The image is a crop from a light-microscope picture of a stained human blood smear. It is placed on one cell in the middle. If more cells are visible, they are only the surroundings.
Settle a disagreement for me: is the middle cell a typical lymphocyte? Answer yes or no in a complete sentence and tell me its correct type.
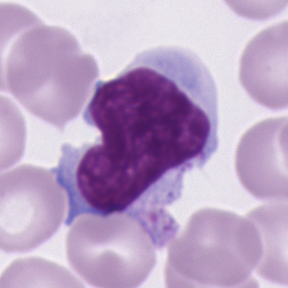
No, the central cell is reported as a large granular lymphocyte rather than as a typical lymphocyte.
